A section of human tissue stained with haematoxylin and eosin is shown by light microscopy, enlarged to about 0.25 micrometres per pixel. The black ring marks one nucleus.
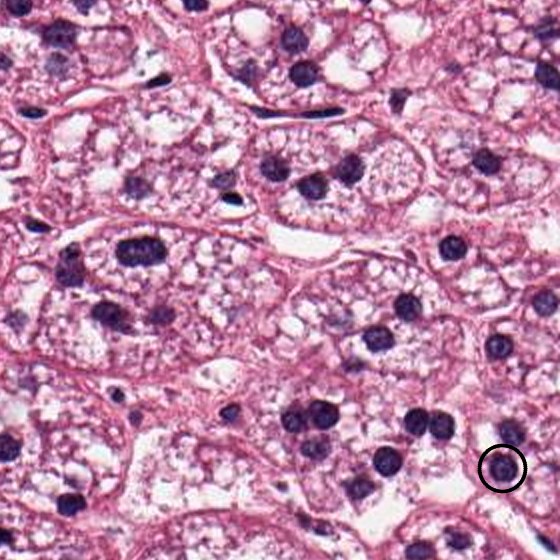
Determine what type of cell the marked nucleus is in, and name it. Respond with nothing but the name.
adrenal cortical cell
